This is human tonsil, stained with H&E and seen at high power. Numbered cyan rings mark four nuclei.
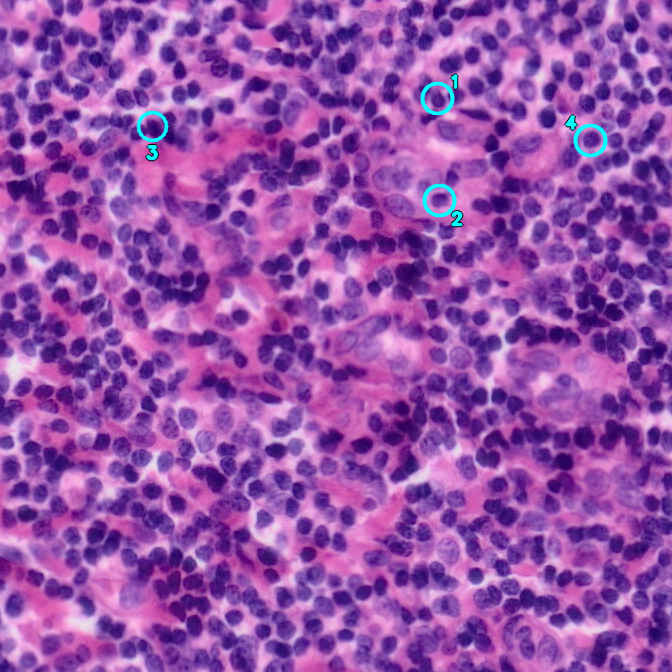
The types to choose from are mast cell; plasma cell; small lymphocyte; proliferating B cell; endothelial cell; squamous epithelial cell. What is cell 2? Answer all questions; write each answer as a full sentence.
In this section, number 2 marks an endothelial cell.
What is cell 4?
Among the marked nuclei, number 4 belongs to a small lymphocyte.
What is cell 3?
The cell that bears the number 3 is a small lymphocyte.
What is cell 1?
The cell indicated with the number 1 is classed as a small lymphocyte.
